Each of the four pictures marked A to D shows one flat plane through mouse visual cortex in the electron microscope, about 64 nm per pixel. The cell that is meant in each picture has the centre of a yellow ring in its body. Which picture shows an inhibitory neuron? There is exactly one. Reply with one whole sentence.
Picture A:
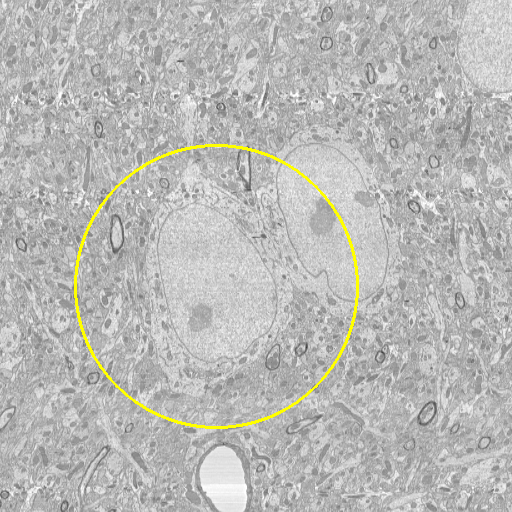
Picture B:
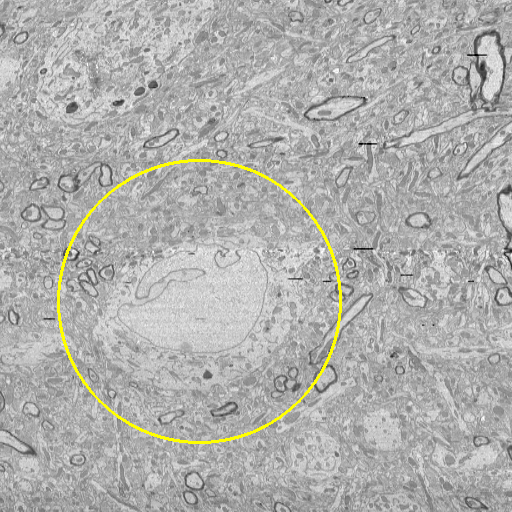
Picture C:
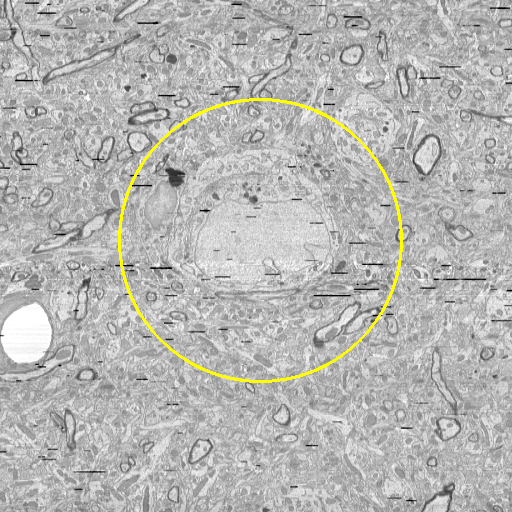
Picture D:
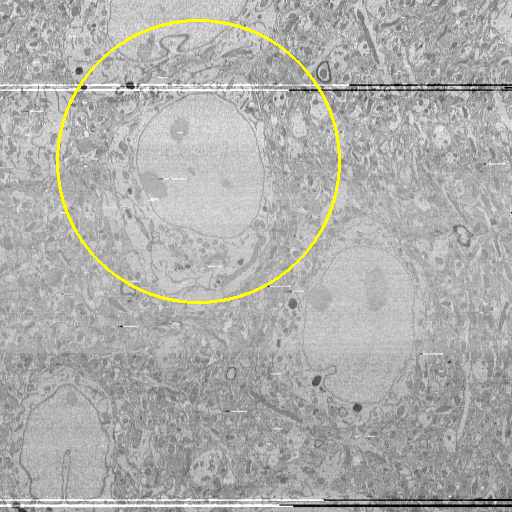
Picture C is the one that shows the inhibitory neuron.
